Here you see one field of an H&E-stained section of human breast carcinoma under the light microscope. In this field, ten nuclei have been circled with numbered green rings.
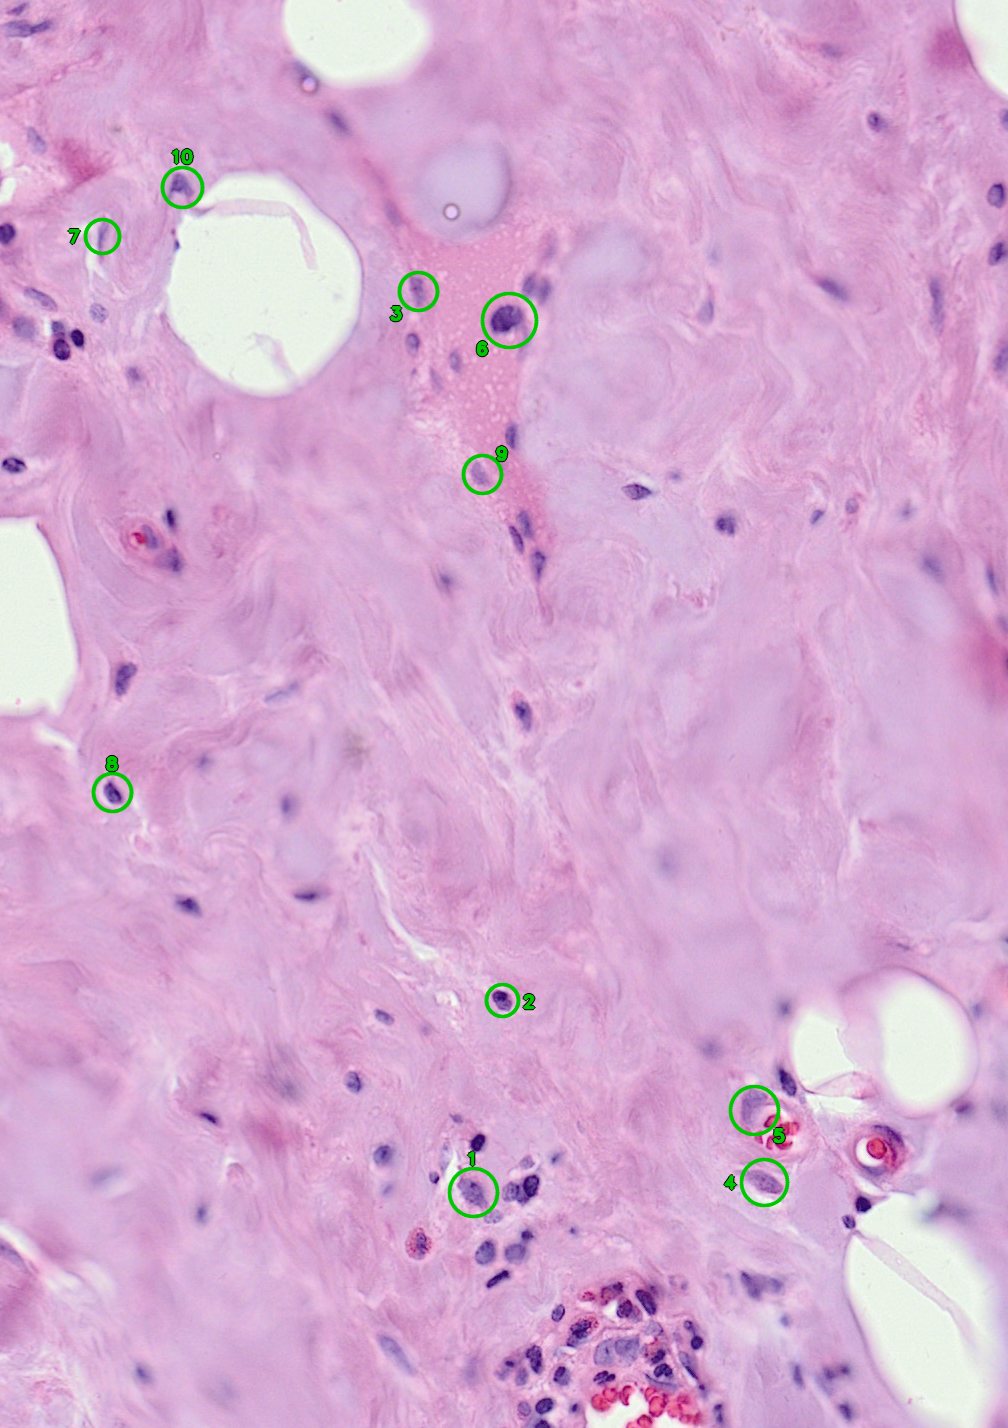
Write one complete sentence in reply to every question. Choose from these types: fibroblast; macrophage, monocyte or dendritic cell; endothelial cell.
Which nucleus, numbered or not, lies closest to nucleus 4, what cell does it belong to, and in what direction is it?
The nearest nucleus is that of an endothelial cell and lies above nucleus 4.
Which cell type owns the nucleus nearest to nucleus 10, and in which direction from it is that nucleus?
It is a fibroblast, whose nucleus lies below and to the left of nucleus 10.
